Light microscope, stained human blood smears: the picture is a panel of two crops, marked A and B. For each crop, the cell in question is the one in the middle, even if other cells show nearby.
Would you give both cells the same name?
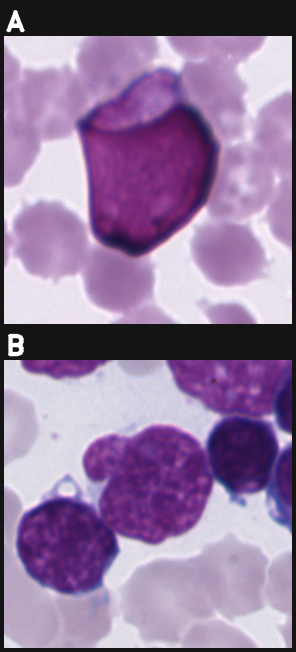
yes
